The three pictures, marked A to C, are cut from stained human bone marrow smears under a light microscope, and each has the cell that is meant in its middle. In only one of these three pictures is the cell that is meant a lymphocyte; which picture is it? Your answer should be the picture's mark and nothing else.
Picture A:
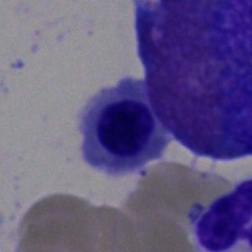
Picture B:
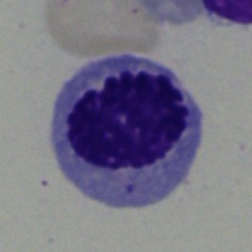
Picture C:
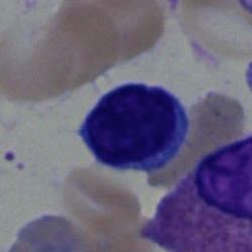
C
